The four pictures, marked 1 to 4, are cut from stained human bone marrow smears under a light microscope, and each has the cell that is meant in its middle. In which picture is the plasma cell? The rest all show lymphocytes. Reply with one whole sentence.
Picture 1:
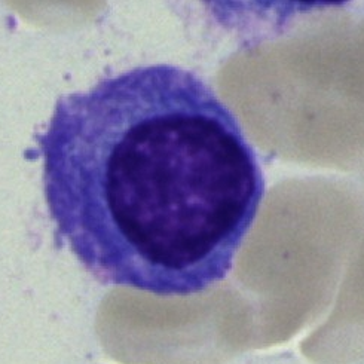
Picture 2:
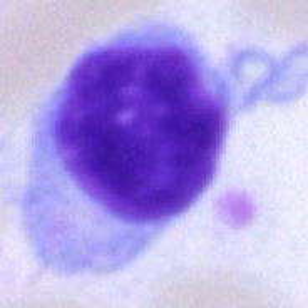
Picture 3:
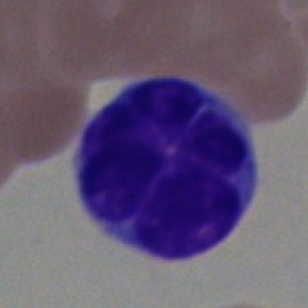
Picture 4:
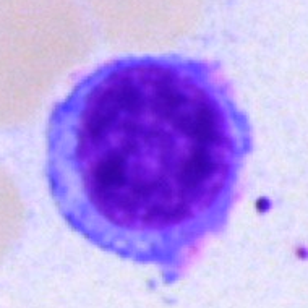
The picture with the plasma cell is 1.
